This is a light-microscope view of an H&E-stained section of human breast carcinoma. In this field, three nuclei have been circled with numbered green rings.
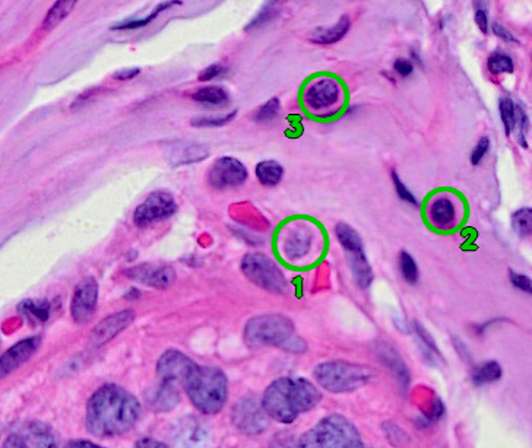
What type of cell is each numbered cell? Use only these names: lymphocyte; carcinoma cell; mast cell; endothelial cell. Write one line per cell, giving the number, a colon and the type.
1: endothelial cell
2: mast cell
3: mast cell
